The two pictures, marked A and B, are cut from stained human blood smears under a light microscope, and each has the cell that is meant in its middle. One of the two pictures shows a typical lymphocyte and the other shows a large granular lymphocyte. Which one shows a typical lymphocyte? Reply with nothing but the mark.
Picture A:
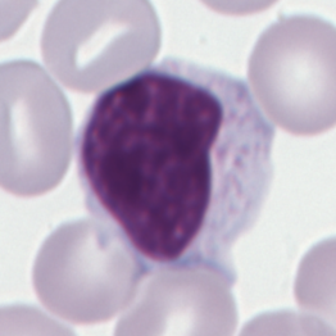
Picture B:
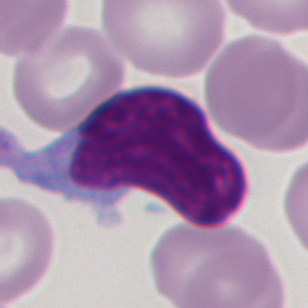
B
